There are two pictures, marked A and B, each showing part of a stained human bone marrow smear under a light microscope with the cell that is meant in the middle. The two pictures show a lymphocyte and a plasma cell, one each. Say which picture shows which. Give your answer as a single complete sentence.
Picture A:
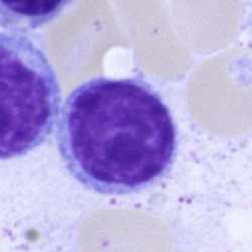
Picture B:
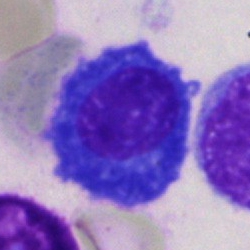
It is picture A that shows a lymphocyte, and picture B that shows a plasma cell.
